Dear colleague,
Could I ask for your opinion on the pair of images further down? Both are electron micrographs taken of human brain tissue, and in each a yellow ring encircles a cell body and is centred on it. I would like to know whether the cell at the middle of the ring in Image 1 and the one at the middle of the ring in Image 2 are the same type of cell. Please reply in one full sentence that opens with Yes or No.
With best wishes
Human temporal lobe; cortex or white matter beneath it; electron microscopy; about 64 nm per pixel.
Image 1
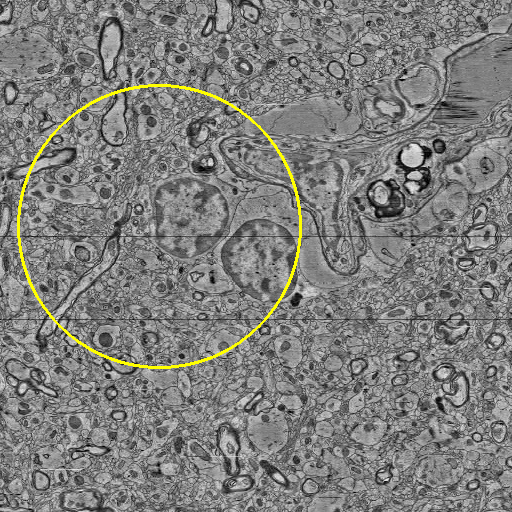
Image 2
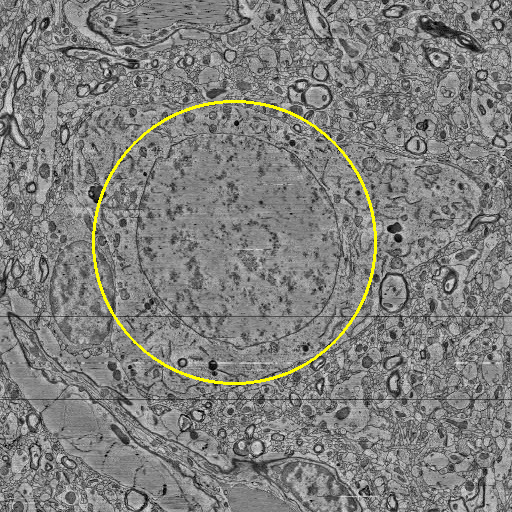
No, the cells at the ring centres in Image 1 and Image 2 are of two types.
